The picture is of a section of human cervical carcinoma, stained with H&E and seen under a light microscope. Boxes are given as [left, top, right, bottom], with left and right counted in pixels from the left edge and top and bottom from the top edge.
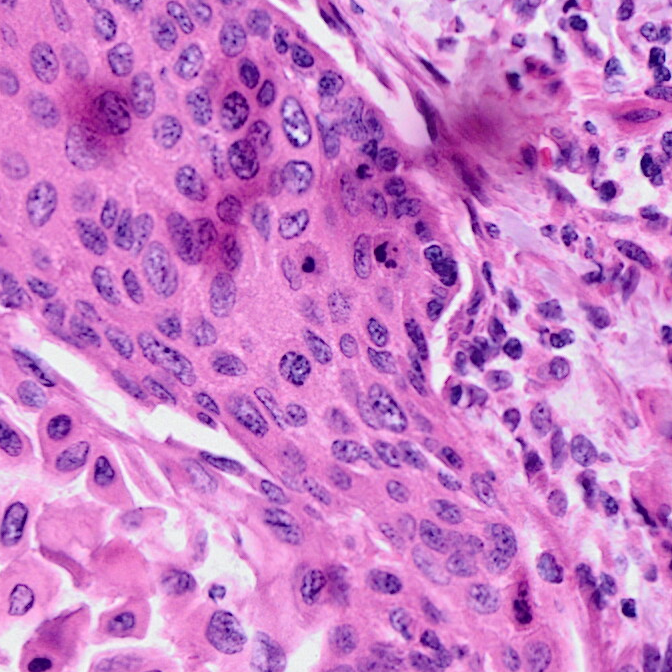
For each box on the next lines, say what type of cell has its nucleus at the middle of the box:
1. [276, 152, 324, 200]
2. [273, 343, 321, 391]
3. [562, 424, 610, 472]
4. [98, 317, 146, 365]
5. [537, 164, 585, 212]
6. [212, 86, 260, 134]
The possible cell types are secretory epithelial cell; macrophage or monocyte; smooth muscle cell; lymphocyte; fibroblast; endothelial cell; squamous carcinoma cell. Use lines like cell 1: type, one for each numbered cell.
cell 1: squamous carcinoma cell
cell 2: squamous carcinoma cell
cell 3: fibroblast
cell 4: squamous carcinoma cell
cell 5: endothelial cell
cell 6: squamous carcinoma cell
